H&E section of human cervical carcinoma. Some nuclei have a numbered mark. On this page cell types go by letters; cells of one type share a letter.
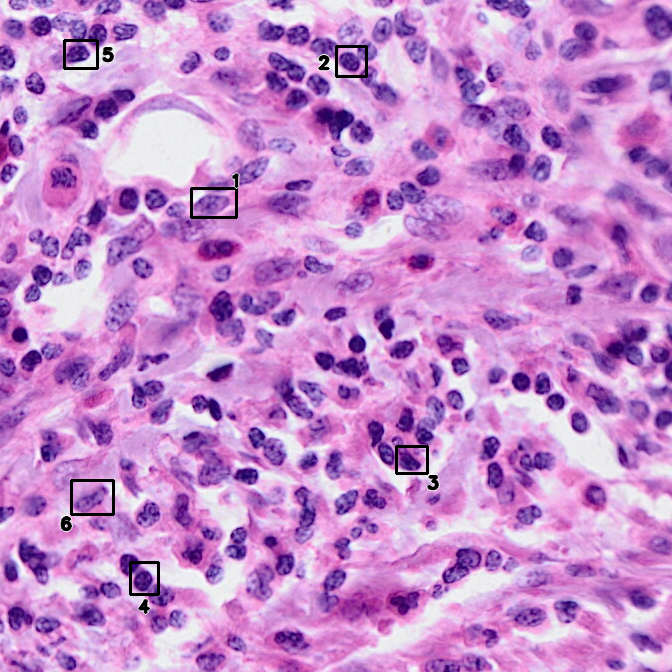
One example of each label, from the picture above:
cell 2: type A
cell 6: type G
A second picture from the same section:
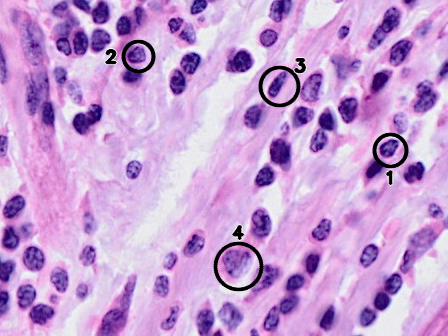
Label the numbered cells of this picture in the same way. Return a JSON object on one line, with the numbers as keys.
{"1": "type A", "2": "type A", "3": "type A", "4": "type G"}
